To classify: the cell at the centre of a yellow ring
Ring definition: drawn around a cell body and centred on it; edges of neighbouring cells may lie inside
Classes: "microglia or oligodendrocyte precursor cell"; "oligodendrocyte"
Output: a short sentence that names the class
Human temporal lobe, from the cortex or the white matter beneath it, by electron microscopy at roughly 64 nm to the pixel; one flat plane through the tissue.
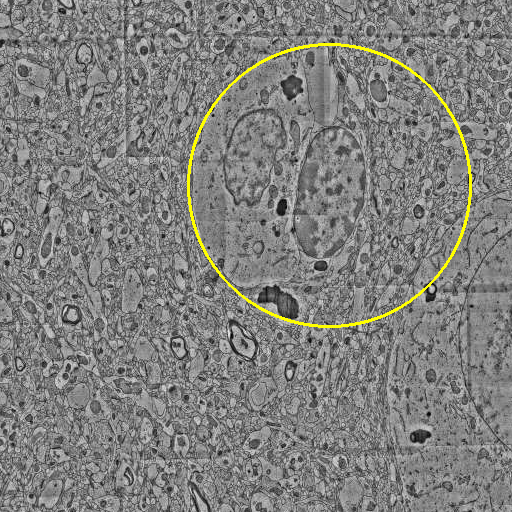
The ringed cell is a microglial cell or oligodendrocyte precursor cell.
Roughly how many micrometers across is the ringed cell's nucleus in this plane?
About 8 by 4 micrometres, the nucleus being clearly longer than it is wide in this plane.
